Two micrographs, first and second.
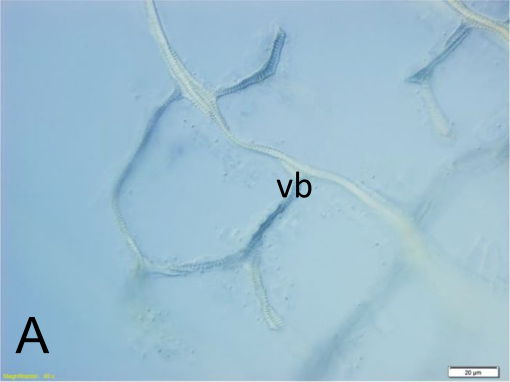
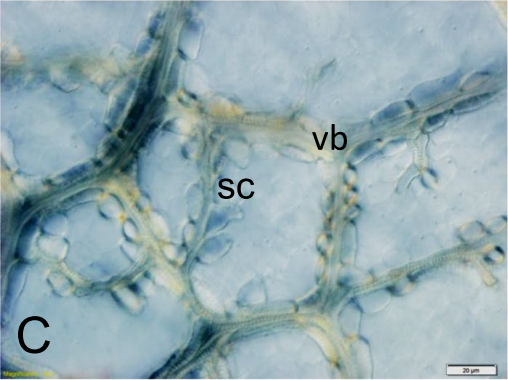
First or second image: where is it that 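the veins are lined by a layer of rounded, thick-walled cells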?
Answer: The second image.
